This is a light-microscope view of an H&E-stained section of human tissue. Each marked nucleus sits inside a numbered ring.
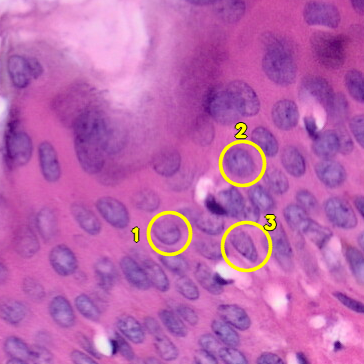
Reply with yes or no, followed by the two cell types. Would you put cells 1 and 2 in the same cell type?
Yes, briefly put, cells 1 and 2 are both suprabasal keratinocytes.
